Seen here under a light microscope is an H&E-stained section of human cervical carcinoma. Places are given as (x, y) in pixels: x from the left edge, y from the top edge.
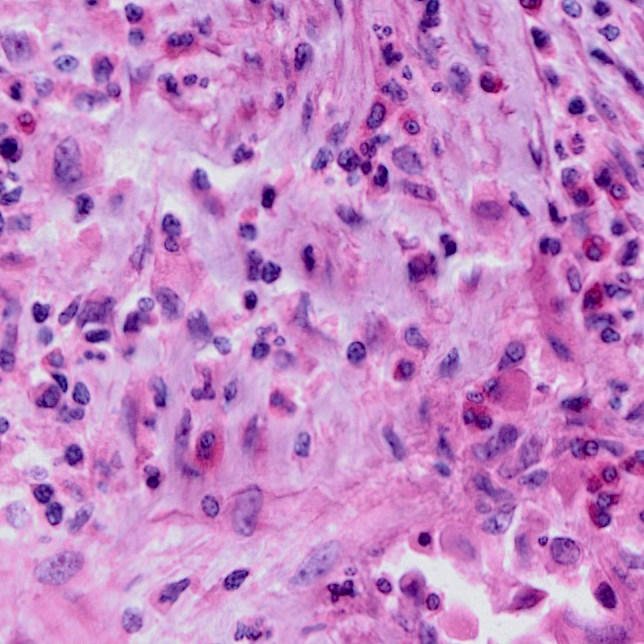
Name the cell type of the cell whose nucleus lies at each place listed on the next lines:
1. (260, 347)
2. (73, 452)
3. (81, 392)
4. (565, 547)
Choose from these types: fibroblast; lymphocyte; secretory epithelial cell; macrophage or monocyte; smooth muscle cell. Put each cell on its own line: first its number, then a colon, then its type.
1: lymphocyte
2: lymphocyte
3: lymphocyte
4: macrophage or monocyte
